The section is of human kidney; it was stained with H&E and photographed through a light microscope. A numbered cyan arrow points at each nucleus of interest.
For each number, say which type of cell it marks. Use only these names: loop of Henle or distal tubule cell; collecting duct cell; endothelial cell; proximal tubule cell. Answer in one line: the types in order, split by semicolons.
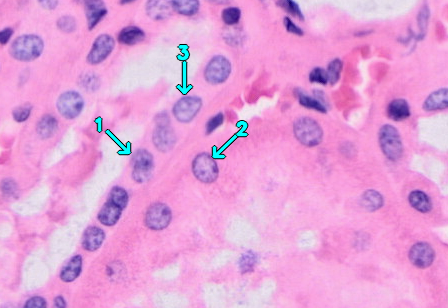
collecting duct cell; proximal tubule cell; collecting duct cell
